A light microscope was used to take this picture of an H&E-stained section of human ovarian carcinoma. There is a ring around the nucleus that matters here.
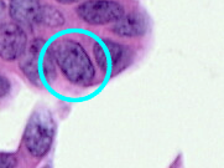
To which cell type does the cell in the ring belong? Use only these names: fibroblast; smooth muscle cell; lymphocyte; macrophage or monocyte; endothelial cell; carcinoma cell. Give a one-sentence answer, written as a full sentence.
Right, so the cell in the ring is a carcinoma cell, to answer that.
